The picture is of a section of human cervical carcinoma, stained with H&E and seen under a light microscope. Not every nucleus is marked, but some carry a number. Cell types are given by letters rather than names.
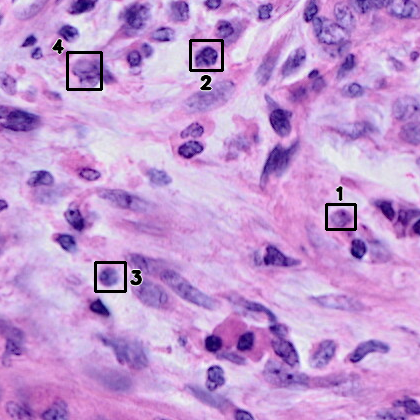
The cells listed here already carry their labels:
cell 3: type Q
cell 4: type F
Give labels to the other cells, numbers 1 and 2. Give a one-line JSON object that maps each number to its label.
{"1": "type F", "2": "type Q"}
